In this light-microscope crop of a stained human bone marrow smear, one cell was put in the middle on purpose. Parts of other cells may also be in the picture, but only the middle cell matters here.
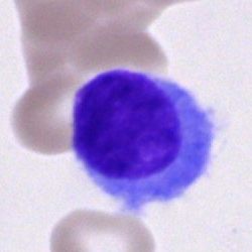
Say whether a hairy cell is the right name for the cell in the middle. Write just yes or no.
yes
